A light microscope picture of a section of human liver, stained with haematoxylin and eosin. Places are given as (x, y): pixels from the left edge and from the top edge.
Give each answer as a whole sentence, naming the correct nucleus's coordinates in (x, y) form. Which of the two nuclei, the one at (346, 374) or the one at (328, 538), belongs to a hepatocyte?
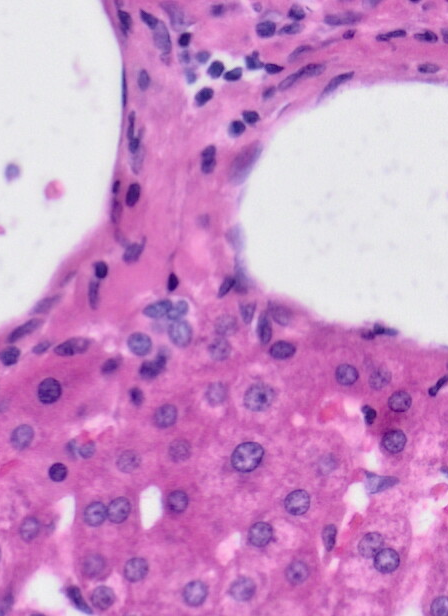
The one belonging to a hepatocyte is the nucleus at (346, 374), not the other.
